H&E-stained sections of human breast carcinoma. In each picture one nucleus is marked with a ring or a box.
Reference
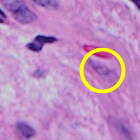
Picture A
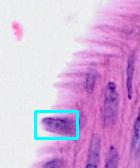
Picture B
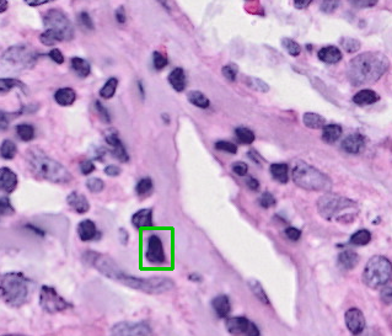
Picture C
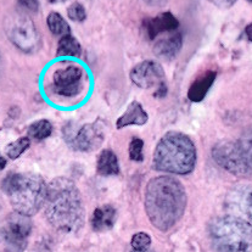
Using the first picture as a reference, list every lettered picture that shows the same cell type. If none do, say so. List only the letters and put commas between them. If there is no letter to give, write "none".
A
